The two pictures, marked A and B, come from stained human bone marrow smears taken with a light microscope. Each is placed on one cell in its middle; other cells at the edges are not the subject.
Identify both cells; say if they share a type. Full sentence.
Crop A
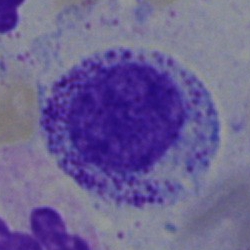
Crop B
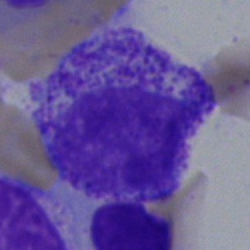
Yes, the two crops show myelocytes, one cell each.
